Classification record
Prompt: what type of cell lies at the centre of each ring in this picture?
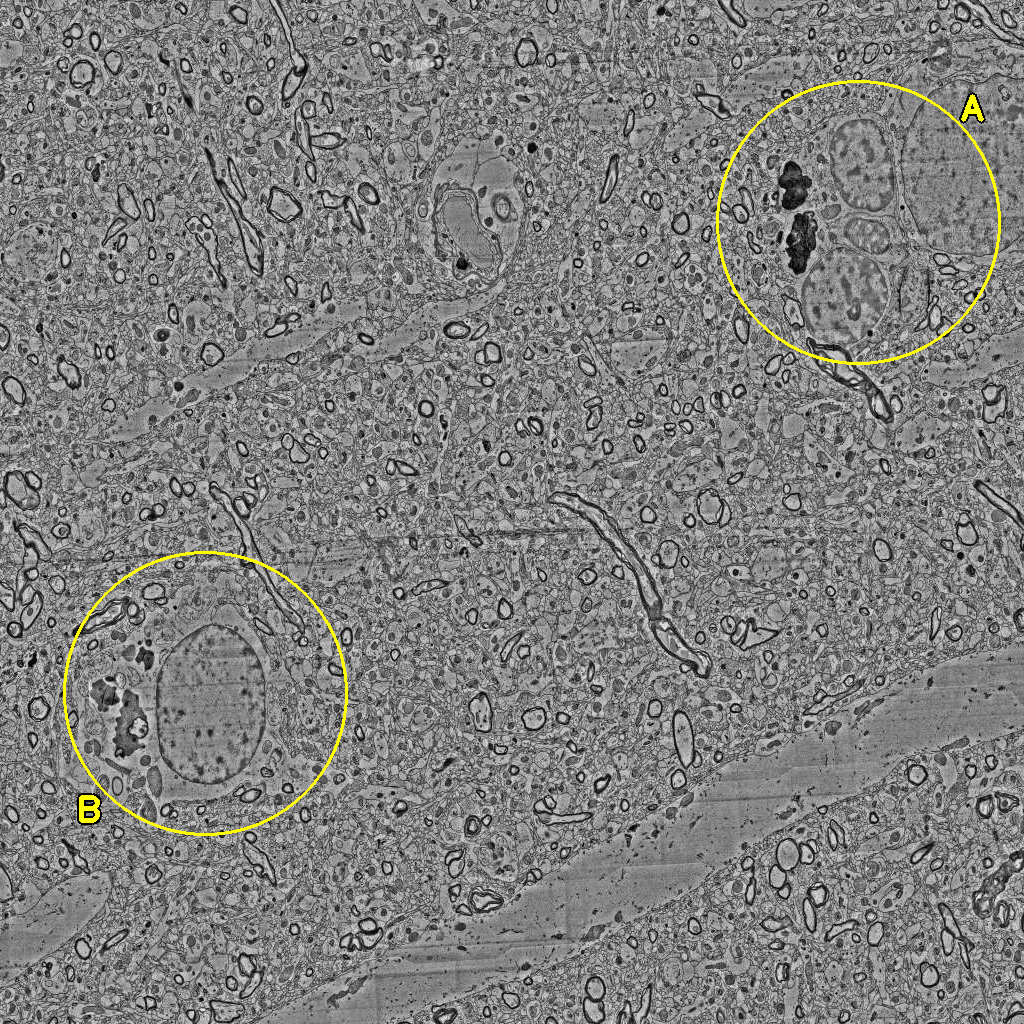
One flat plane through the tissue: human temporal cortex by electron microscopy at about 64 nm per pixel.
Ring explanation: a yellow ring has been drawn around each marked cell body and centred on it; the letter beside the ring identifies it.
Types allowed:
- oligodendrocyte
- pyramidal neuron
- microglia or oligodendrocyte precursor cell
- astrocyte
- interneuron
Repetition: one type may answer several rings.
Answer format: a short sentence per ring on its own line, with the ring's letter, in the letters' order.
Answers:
Ring A shows an oligodendrocyte at its centre.
Ring B shows an astrocyte at its centre.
